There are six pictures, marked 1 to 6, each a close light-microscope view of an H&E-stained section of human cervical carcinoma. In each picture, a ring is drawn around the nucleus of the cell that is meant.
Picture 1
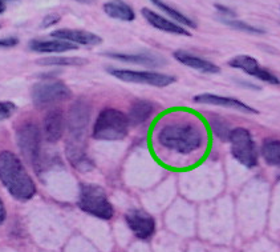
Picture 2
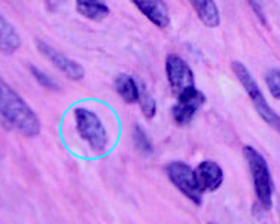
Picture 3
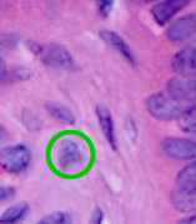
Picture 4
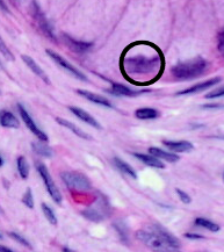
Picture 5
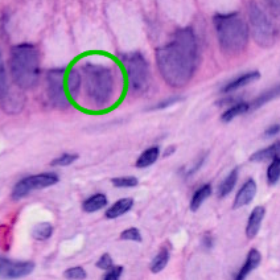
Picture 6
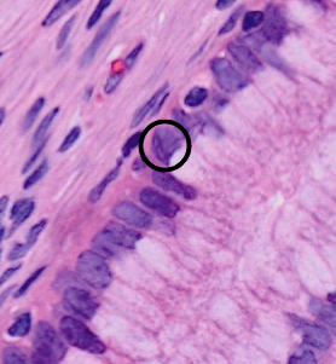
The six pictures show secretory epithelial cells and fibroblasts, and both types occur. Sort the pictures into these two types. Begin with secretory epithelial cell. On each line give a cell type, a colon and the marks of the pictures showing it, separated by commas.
secretory epithelial cell: 1, 4, 5, 6
fibroblast: 2, 3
